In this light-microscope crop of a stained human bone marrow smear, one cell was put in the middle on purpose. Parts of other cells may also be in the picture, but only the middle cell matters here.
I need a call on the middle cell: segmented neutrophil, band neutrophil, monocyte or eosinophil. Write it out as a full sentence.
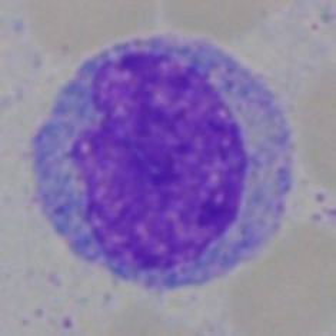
As for the cell in the middle, it is a monocyte.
